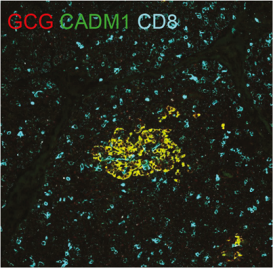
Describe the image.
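This is a section of pancreas containing an irregular islet, whose cells show overlapping red and green labelling and so appear yellow. A small separate yellow cell group lies towards the lower right of the field. Several of these cyan cells sit at the margin of the islet and in among its cells.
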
